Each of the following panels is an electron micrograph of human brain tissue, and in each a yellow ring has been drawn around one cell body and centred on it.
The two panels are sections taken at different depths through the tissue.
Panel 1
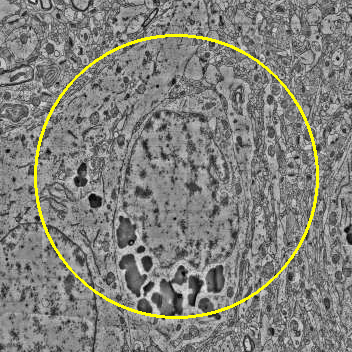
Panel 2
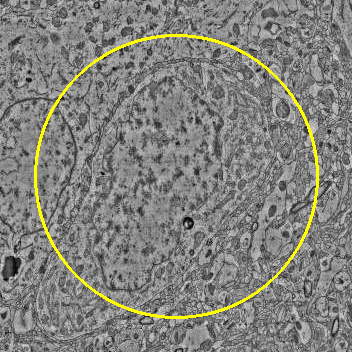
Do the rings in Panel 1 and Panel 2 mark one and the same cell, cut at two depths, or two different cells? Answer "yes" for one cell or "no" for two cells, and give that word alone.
no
